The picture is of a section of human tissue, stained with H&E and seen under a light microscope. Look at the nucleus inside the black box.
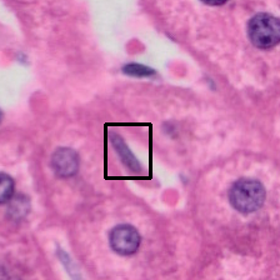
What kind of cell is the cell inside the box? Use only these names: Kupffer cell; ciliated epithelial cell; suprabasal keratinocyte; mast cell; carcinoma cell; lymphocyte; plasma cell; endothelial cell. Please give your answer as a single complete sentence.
By cell type, the cell inside the box is a Kupffer cell.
